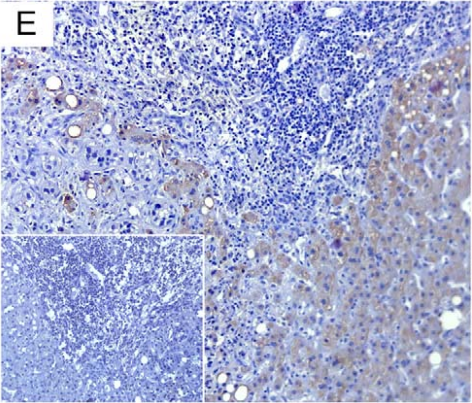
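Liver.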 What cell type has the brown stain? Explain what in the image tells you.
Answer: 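Large polygonal cells in cords with brown-tinged cytoplasm. Scattered clear round fat vacuoles among the cords. That points to this answer: hepatocytes.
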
